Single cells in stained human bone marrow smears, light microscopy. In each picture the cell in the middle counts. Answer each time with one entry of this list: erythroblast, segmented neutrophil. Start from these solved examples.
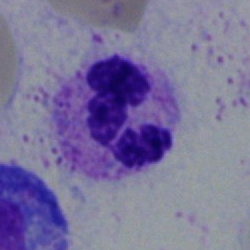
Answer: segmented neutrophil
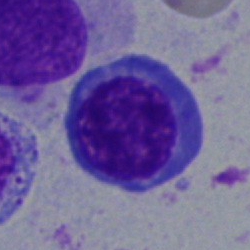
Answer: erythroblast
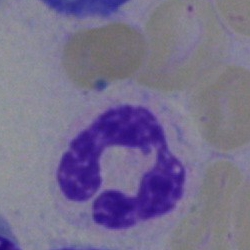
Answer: segmented neutrophil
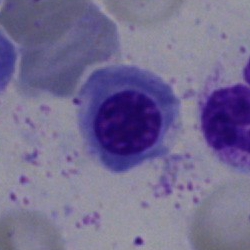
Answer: erythroblast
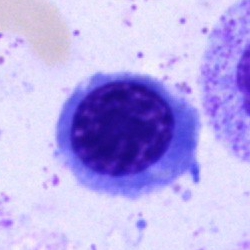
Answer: erythroblast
